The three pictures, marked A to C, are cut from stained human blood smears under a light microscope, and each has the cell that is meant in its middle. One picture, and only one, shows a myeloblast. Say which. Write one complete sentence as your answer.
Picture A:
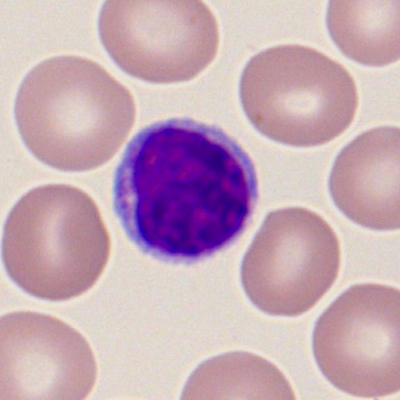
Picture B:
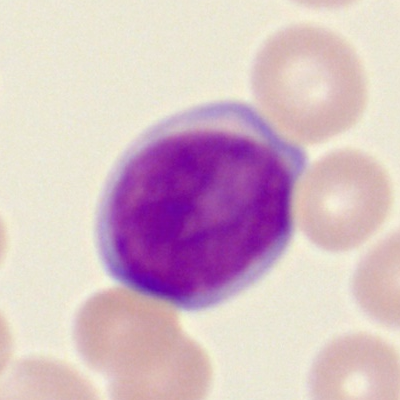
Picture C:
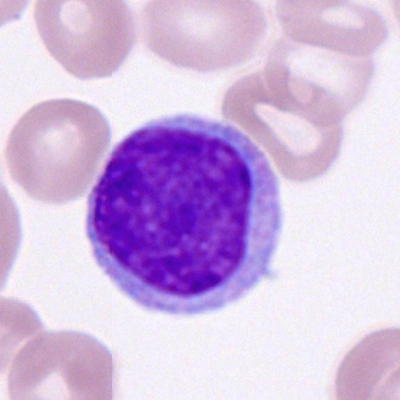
It is picture B that shows the myeloblast.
